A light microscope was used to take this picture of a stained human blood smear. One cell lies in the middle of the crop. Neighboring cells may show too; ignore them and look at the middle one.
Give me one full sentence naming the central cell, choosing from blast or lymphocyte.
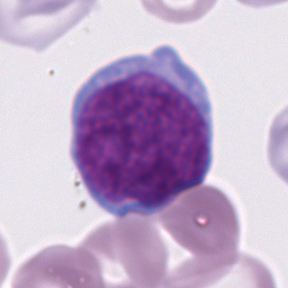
Standing at the centre of this crop is a blast.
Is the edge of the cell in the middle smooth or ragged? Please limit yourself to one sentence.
Instead of a smooth edge, this cell has an irregular one, ragged or with projections.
